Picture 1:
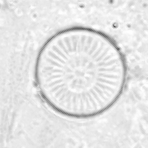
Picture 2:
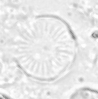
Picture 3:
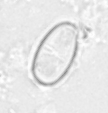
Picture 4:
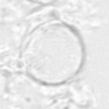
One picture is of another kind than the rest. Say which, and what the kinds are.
Picture 3 shows Achnanthidium; the rest show Discostella.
